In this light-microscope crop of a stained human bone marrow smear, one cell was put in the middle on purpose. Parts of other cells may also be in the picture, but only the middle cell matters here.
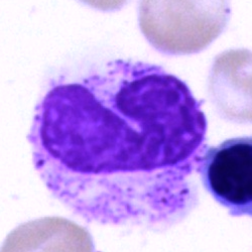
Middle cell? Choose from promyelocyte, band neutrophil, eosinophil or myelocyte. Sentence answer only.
Answering briefly, the cell in the middle is a band neutrophil.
